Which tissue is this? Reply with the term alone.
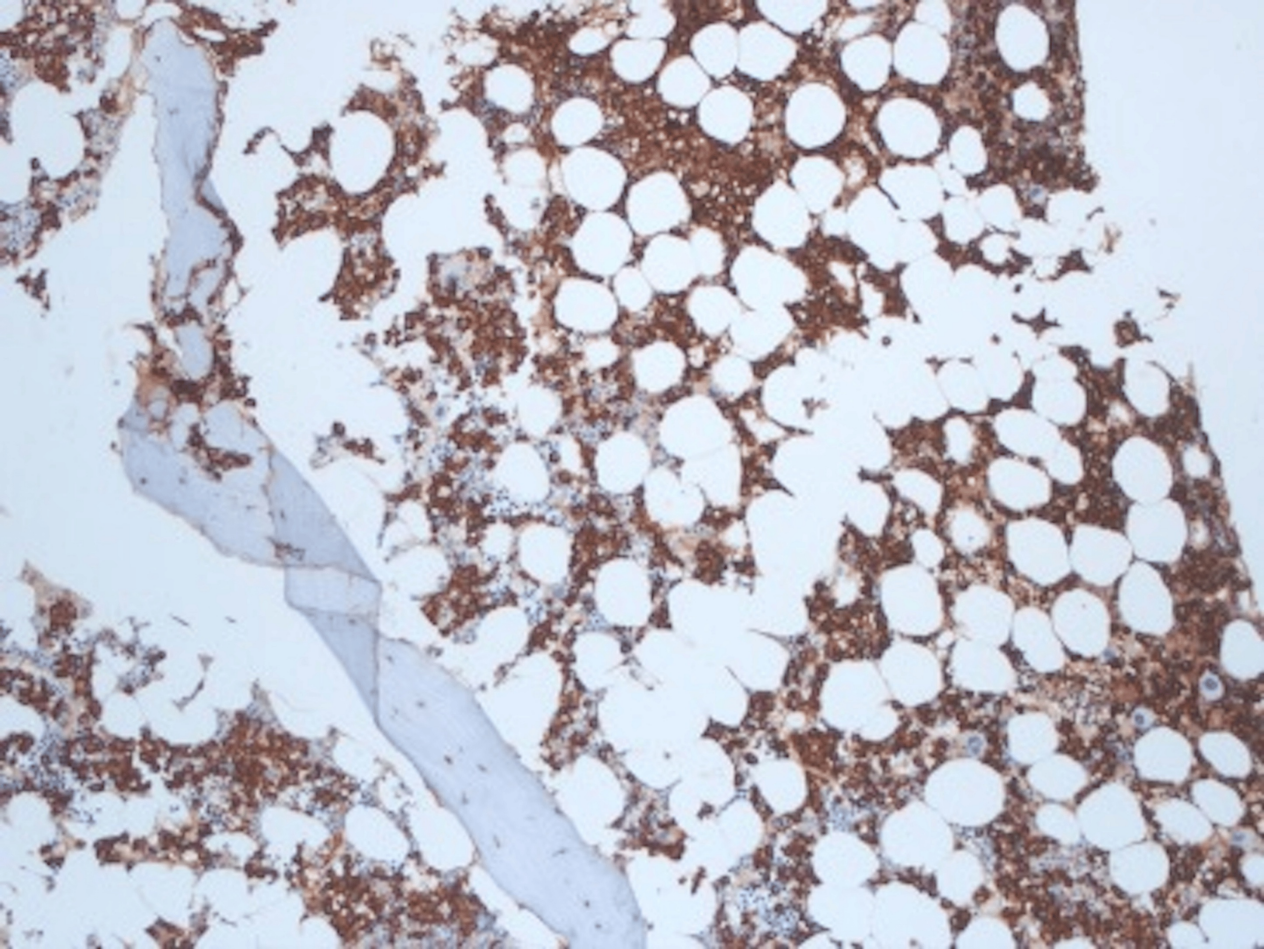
Bone marrow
